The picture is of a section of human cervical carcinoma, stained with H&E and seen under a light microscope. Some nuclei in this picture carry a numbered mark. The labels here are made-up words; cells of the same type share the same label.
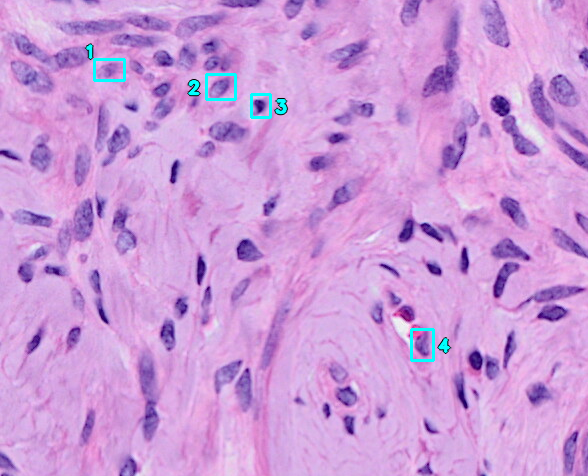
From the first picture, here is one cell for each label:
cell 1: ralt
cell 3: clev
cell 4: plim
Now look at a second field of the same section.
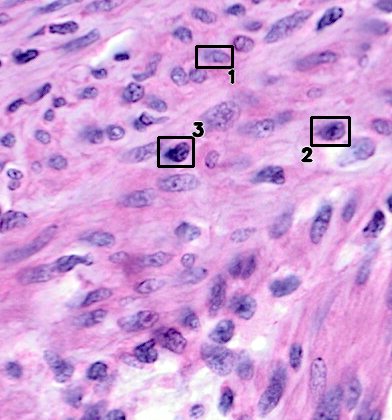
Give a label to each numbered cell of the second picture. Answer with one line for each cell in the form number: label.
1: ralt
2: clev
3: clev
